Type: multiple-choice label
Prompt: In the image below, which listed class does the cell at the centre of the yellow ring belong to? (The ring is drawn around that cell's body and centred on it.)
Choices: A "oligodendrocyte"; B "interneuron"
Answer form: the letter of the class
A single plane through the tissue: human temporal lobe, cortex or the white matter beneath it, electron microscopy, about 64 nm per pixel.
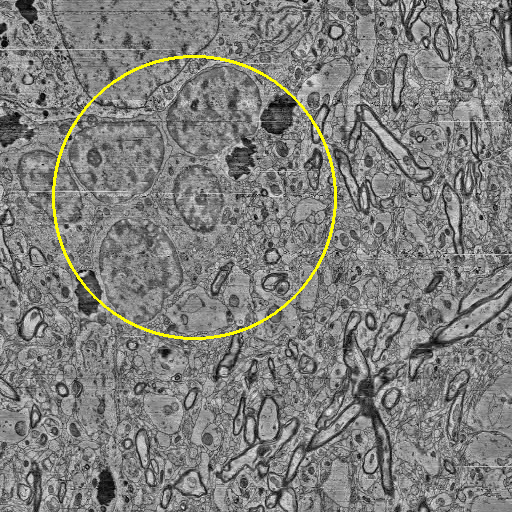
A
